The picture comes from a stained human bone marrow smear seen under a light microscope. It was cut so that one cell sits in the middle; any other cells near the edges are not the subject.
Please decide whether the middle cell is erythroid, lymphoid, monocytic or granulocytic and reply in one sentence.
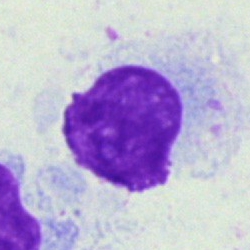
The cell at the center belongs, by lineage, to the lymphoid line.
